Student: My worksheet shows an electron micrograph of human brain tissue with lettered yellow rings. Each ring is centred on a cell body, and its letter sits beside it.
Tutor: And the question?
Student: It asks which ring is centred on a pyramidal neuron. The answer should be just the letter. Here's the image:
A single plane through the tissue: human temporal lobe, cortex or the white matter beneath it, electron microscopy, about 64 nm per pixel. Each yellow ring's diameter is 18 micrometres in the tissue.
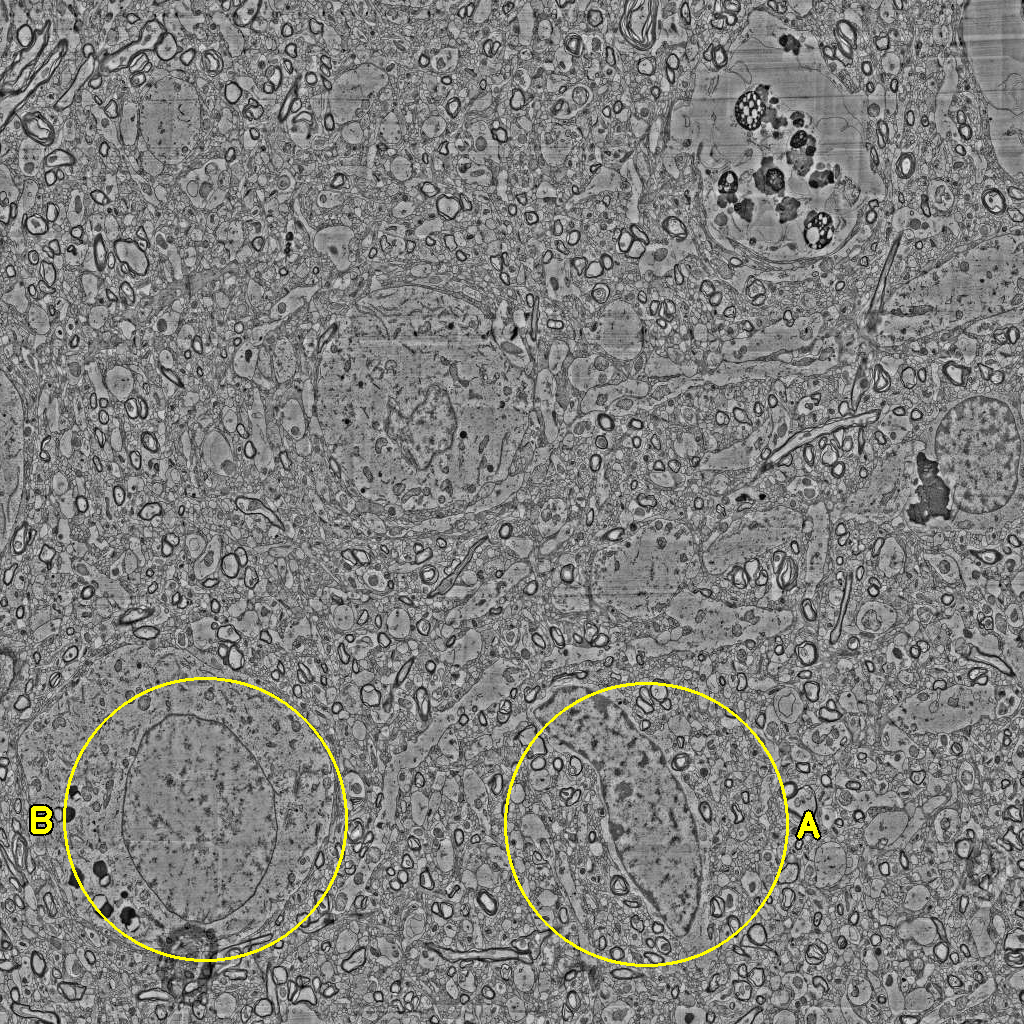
B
